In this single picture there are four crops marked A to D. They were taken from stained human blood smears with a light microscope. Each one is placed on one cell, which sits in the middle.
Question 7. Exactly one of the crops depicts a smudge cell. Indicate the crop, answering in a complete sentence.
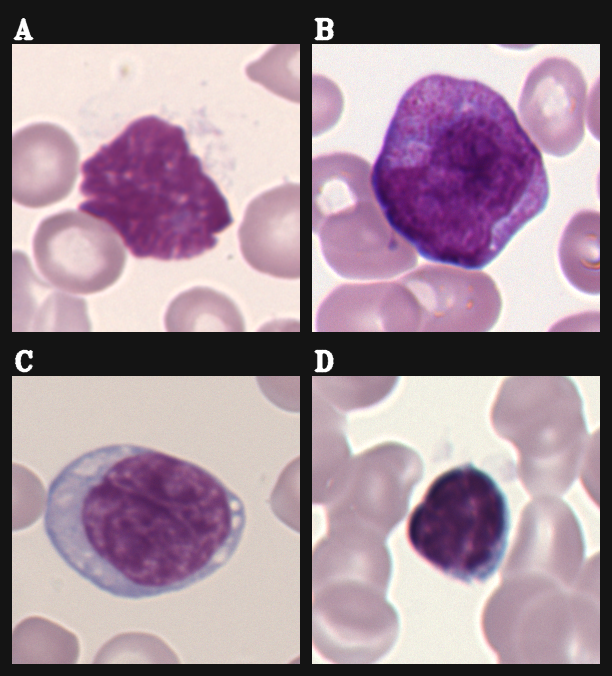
The correct choice is crop A, the one showing a smudge cell.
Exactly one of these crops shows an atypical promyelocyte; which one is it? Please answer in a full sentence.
Crop B is the correct crop, and it shows an atypical promyelocyte.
